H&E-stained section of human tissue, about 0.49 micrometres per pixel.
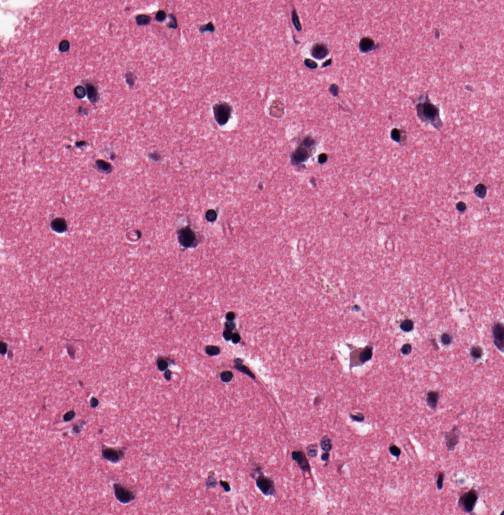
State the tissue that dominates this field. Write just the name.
cerebral cortex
